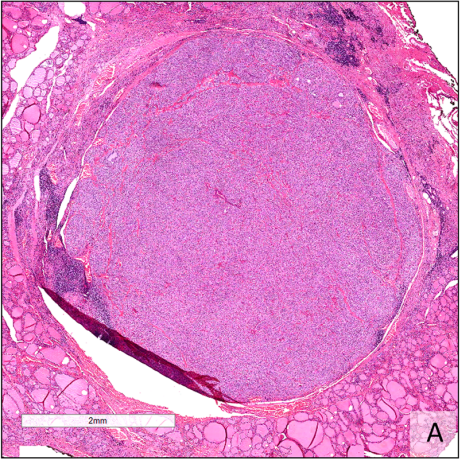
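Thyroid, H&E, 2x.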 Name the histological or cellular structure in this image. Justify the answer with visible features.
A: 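Completely encapsulated. A round, sharply bordered nodule fills the centre. A thin band of pink fibrous tissue surrounds the nodule. Thyroid follicles with pink colloid lie outside the band.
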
